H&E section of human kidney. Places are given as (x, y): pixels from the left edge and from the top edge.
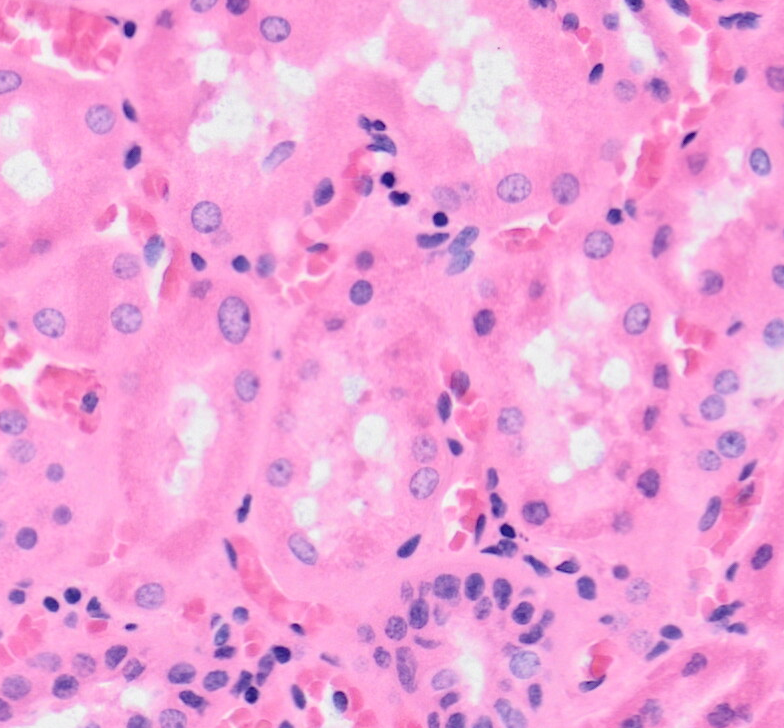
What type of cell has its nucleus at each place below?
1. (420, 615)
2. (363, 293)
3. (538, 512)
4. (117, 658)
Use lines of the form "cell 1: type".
cell 1: collecting duct cell
cell 2: proximal tubule cell
cell 3: proximal tubule cell
cell 4: collecting duct cell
